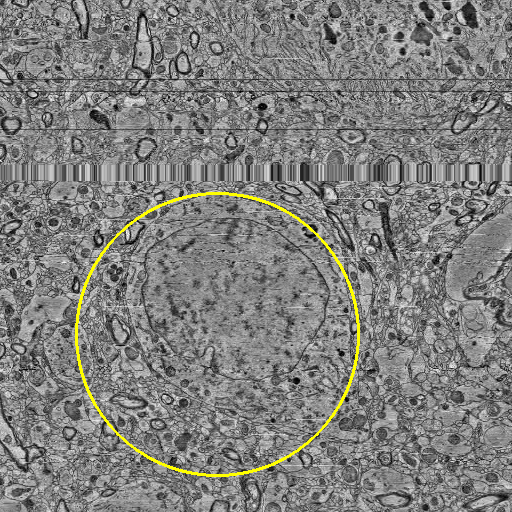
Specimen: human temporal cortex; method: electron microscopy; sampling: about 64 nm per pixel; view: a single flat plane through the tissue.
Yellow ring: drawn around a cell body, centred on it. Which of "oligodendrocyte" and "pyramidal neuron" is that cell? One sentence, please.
That cell body is from a pyramidal neuron.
